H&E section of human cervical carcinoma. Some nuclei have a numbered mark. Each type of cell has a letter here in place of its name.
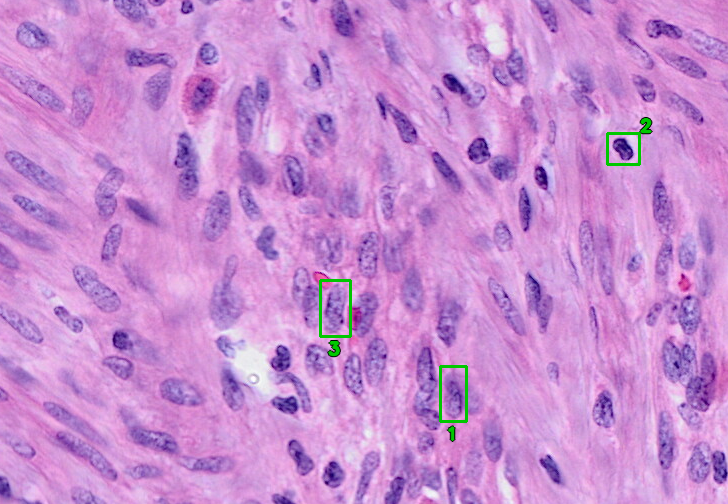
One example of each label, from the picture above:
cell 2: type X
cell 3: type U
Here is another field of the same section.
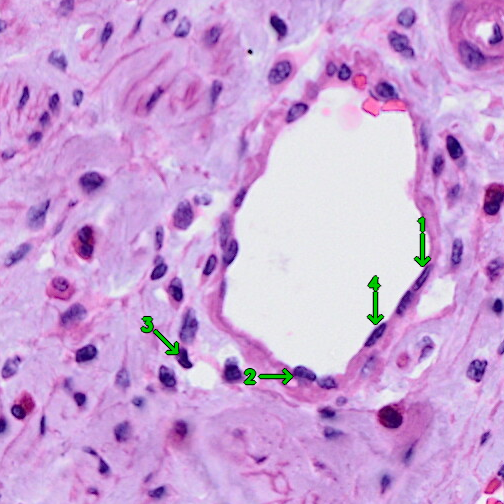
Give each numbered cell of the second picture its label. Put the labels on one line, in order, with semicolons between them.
type U; type U; type X; type U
